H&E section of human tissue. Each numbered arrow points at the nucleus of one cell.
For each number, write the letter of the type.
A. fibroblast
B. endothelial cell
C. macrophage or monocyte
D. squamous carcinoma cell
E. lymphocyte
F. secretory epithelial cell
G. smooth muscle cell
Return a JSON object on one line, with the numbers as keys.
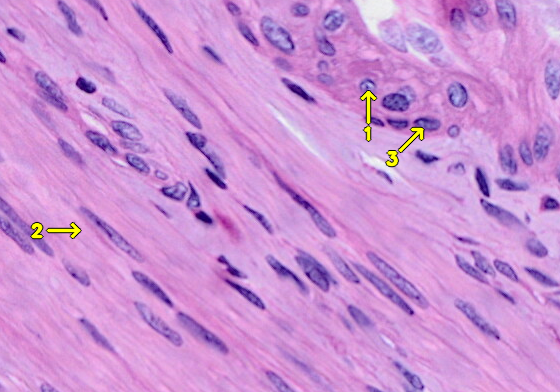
{"1": "G", "2": "A", "3": "G"}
